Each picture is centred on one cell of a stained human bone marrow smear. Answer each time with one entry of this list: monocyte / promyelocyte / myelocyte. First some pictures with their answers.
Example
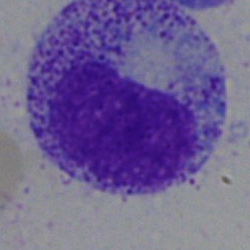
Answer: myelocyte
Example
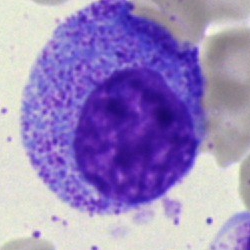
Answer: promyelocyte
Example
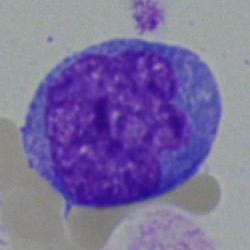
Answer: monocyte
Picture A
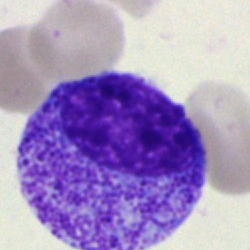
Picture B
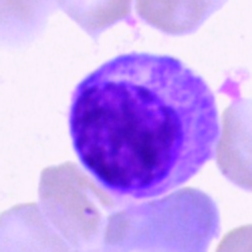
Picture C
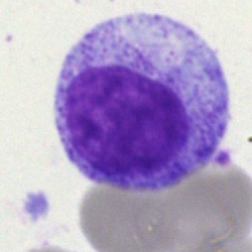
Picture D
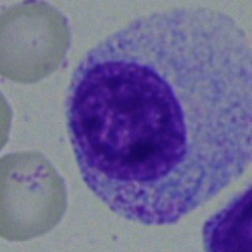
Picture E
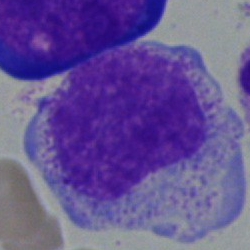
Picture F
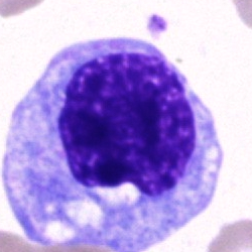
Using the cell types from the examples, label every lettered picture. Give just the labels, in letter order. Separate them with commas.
myelocyte, myelocyte, myelocyte, myelocyte, myelocyte, monocyte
